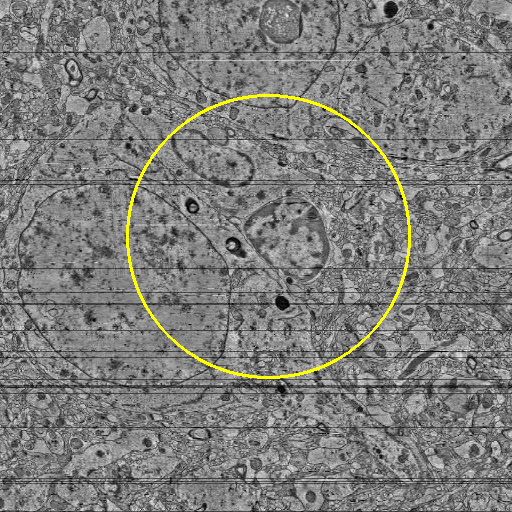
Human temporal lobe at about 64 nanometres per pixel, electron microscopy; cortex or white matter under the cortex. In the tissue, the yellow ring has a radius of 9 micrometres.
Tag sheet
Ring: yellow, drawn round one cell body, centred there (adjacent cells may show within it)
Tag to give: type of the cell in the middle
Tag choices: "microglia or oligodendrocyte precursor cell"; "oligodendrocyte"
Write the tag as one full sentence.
I tag the cell centred in the yellow ring as a microglial cell or oligodendrocyte precursor cell in this picture.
